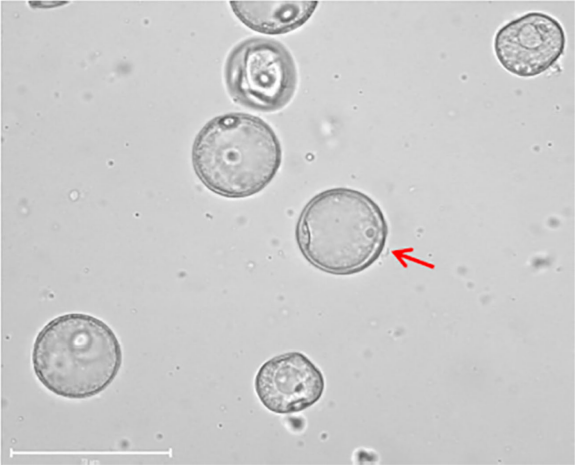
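These are isolated microspores, rounded cells lying apart on a clean background, seen unstained. They have thick, smooth, dark-rimmed walls. The cells differ in size and in how clear their contents look. Only fine specks lie between them.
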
